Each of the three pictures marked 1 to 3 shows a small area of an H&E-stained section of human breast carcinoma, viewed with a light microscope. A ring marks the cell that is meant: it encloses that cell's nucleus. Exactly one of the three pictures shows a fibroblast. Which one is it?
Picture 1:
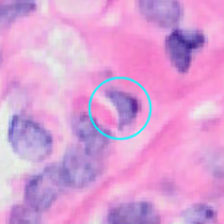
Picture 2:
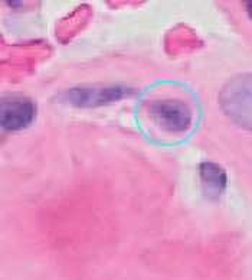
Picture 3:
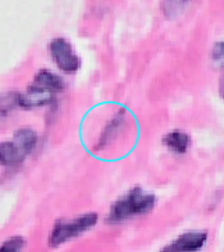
3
